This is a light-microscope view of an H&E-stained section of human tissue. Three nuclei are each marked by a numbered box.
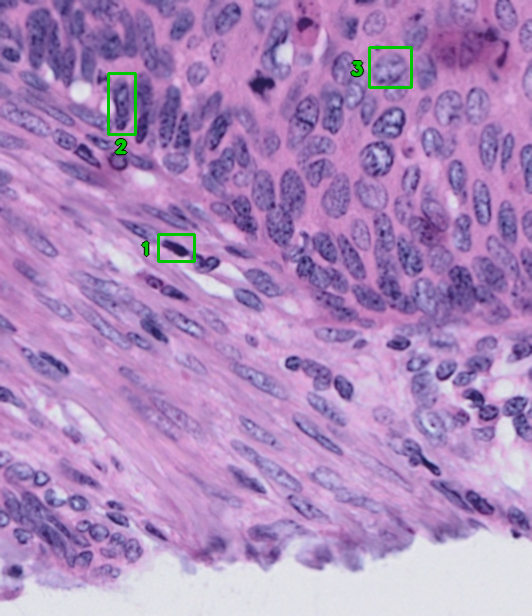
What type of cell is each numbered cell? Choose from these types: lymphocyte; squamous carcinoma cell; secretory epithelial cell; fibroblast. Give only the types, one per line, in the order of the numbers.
lymphocyte
squamous carcinoma cell
squamous carcinoma cell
